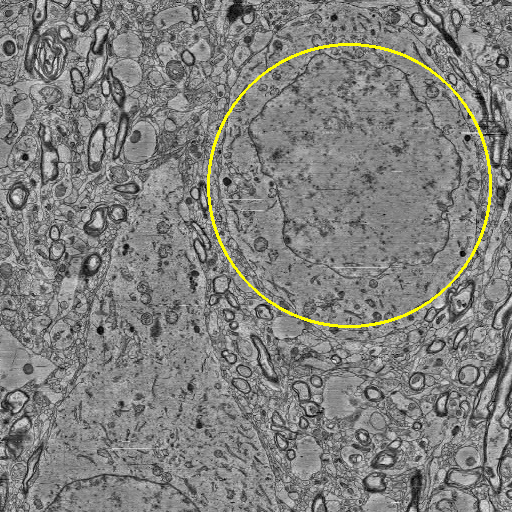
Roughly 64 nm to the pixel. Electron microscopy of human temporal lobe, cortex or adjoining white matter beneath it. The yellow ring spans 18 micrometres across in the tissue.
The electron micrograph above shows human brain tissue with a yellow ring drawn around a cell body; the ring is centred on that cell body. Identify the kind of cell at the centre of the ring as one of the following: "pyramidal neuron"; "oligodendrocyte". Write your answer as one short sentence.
The cell at the centre of the ring is a pyramidal neuron.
